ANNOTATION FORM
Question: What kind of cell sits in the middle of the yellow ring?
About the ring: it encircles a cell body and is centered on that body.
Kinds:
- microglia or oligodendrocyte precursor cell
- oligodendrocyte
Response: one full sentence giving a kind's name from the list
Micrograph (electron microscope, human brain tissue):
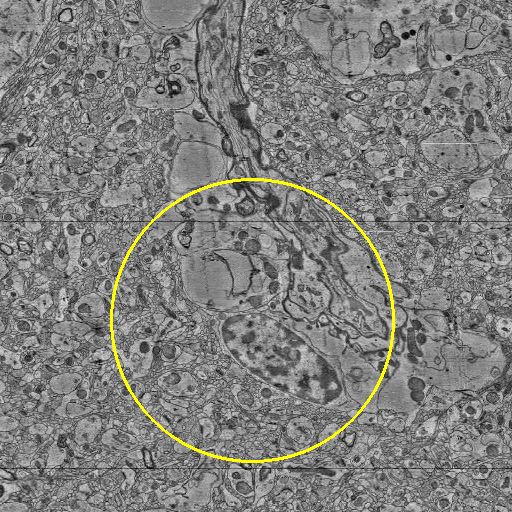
The kind of cell found at the center of the yellow ring in the micrograph is a microglial cell or oligodendrocyte precursor cell.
